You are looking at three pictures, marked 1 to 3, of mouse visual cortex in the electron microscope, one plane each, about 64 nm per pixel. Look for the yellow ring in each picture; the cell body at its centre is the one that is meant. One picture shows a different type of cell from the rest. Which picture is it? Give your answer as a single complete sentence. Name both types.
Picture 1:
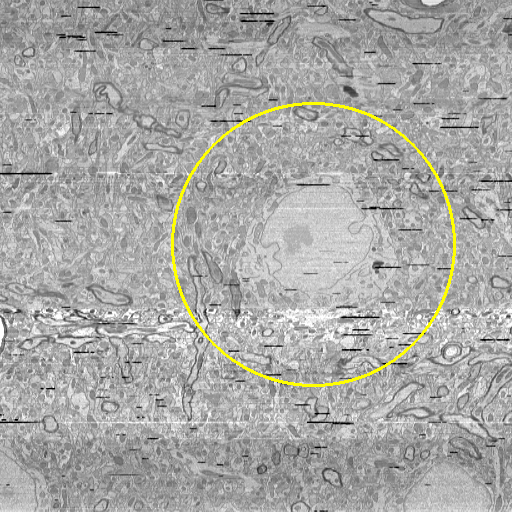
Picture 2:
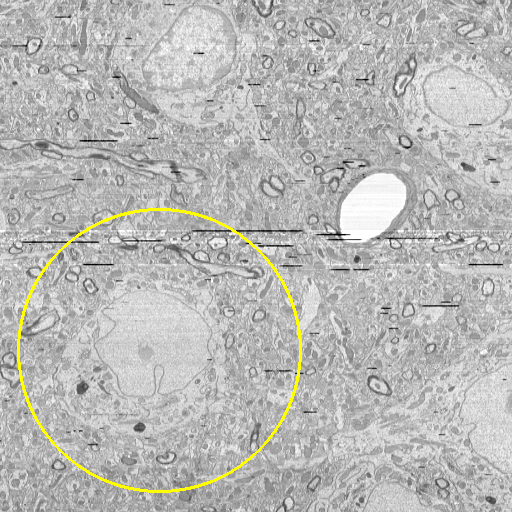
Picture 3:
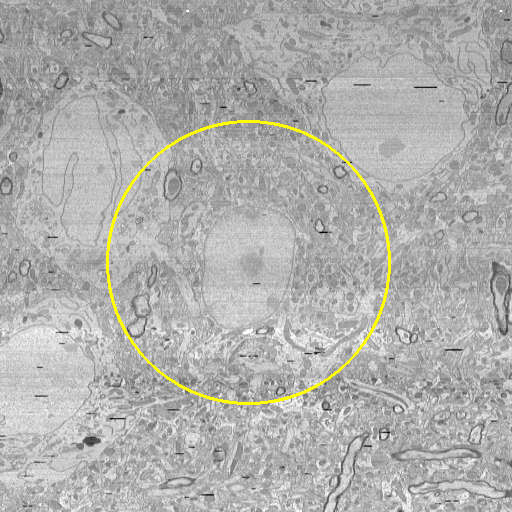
The others show excitatory neurons, but picture 3 shows an astrocyte.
